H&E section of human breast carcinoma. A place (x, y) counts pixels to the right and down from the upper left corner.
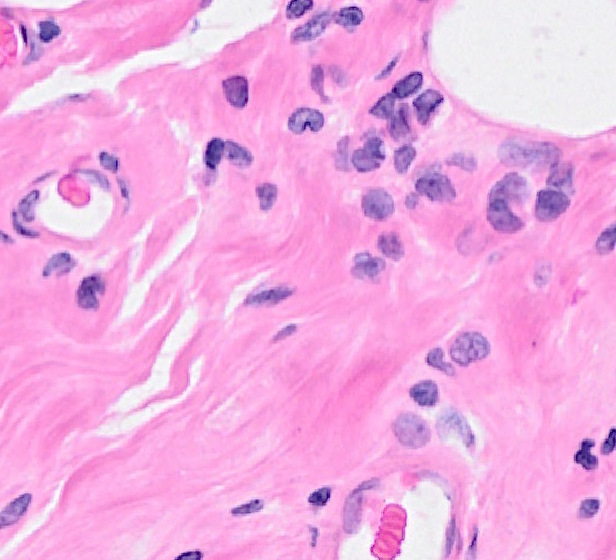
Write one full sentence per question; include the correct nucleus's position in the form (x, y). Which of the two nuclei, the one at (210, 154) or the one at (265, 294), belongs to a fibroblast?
Of the two nuclei, the one sitting at (265, 294) belongs to a fibroblast.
